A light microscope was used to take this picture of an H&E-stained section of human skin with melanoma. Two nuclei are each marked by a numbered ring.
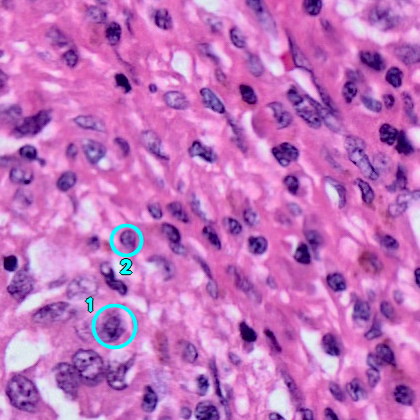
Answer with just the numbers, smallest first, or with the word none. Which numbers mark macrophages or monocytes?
2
